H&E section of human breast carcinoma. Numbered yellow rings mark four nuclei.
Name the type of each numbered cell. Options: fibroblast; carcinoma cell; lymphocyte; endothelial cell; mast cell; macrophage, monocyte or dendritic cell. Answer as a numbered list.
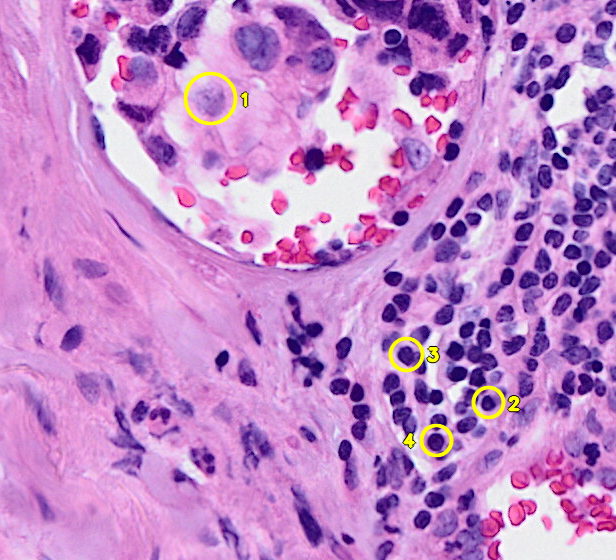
1. carcinoma cell
2. lymphocyte
3. lymphocyte
4. lymphocyte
